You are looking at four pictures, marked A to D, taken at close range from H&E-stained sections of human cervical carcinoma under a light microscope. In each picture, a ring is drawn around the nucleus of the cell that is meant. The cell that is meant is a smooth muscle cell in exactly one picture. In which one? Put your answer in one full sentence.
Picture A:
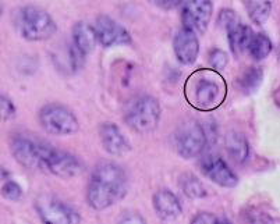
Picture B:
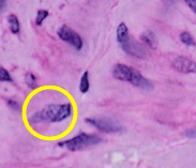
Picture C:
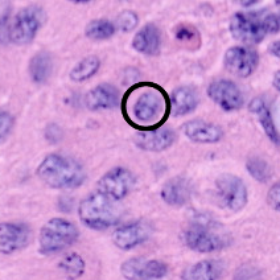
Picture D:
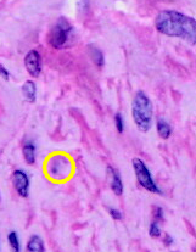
The picture with the smooth muscle cell is D.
